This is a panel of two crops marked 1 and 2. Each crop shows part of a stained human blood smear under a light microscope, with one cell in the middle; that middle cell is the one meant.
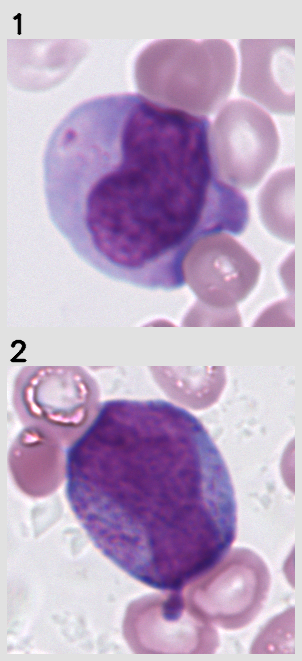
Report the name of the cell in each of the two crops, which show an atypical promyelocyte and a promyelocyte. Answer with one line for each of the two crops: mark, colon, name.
1: atypical promyelocyte
2: promyelocyte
